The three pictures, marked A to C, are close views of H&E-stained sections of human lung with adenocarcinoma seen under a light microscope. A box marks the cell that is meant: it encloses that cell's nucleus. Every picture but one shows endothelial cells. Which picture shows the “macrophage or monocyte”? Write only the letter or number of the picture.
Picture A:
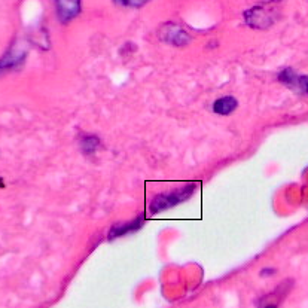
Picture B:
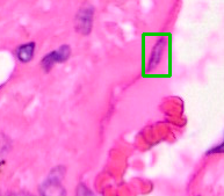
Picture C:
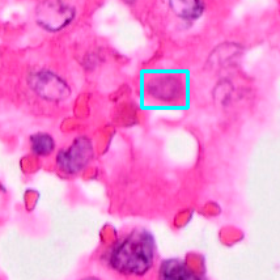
C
